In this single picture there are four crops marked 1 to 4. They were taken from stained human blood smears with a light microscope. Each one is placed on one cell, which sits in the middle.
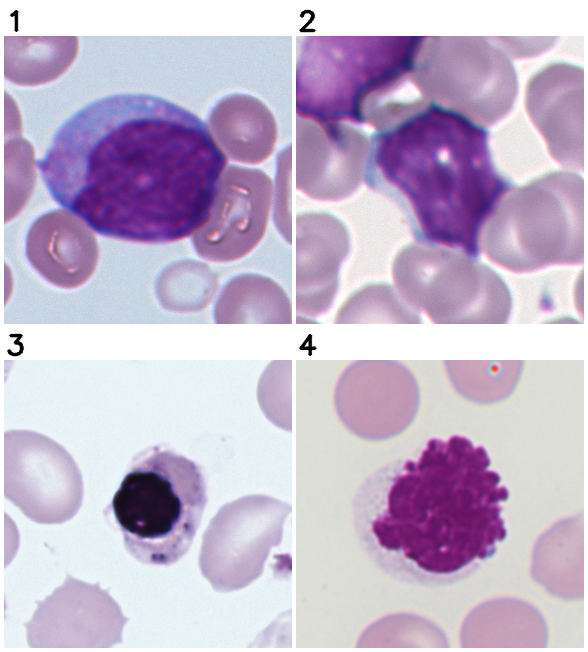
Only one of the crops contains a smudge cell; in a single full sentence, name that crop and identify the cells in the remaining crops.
In the set, crop 4 shows a smudge cell, whereas crop 1 is an atypical promyelocyte, crop 2 is a typical lymphocyte and crop 3 is an erythroblast.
